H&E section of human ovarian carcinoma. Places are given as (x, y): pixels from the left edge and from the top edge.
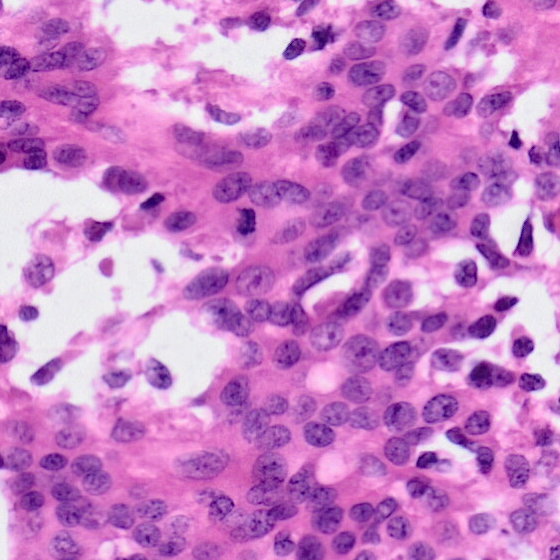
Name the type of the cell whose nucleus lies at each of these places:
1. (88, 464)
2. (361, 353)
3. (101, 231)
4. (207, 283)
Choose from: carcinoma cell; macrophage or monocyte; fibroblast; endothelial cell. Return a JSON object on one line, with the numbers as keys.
{"1": "carcinoma cell", "2": "carcinoma cell", "3": "macrophage or monocyte", "4": "carcinoma cell"}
